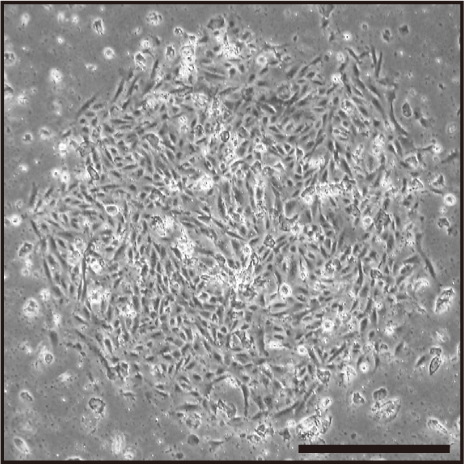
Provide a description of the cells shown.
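In the middle, elongated spindle-shaped and some flatter polygonal cells lie close together, forming a roughly round colony whose cells point in many directions. Around its edge and across the rest of the field lie scattered small, rounded, bright refractile cells that have not spread out, with open dish surface between them. Within the colony a few bright, rounded cells sit on top of the flat ones.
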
